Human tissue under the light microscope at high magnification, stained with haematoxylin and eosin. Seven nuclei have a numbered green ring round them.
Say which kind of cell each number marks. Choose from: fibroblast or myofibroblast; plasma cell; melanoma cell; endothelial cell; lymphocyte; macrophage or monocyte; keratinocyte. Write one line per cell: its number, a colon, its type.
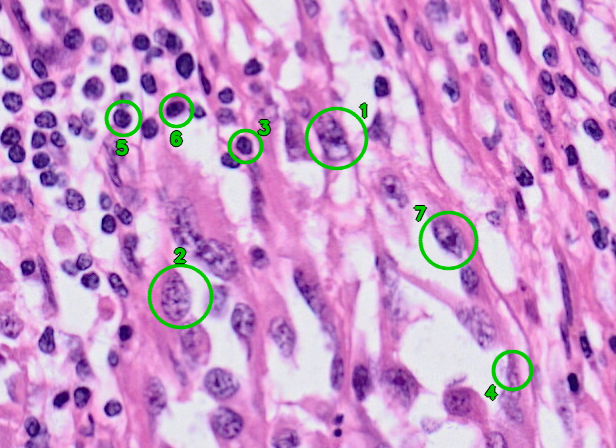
1: melanoma cell
2: melanoma cell
3: lymphocyte
4: melanoma cell
5: lymphocyte
6: plasma cell
7: melanoma cell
